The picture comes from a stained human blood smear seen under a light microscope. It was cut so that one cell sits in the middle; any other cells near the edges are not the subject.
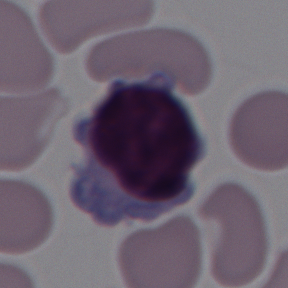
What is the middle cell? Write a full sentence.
At the middle of the frame sits a lymphocyte.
